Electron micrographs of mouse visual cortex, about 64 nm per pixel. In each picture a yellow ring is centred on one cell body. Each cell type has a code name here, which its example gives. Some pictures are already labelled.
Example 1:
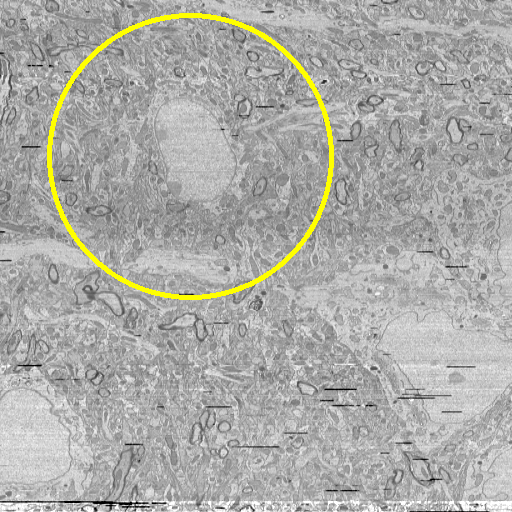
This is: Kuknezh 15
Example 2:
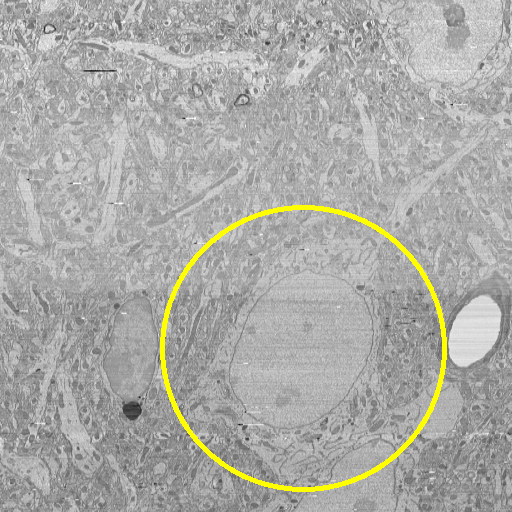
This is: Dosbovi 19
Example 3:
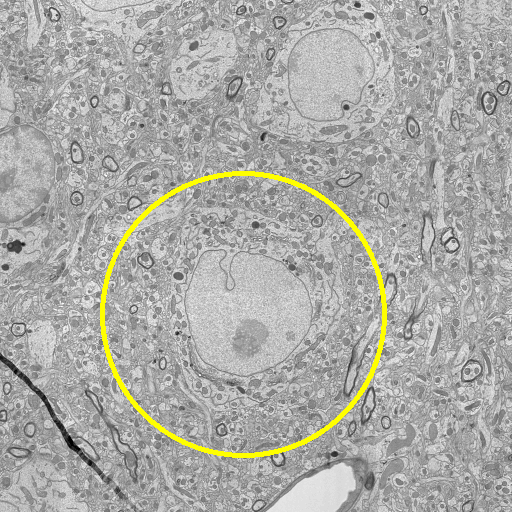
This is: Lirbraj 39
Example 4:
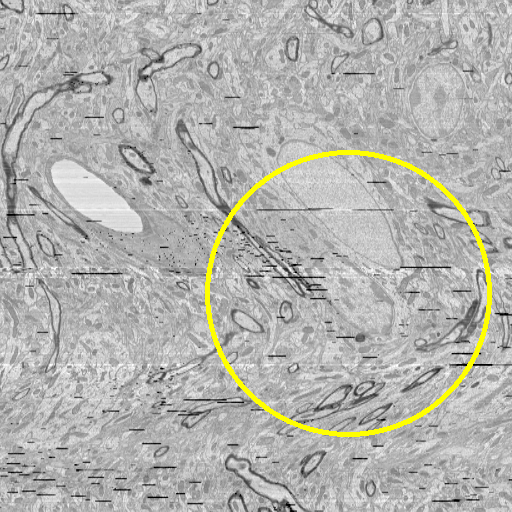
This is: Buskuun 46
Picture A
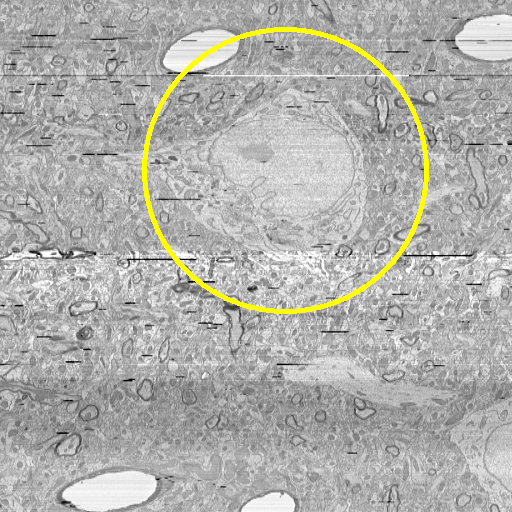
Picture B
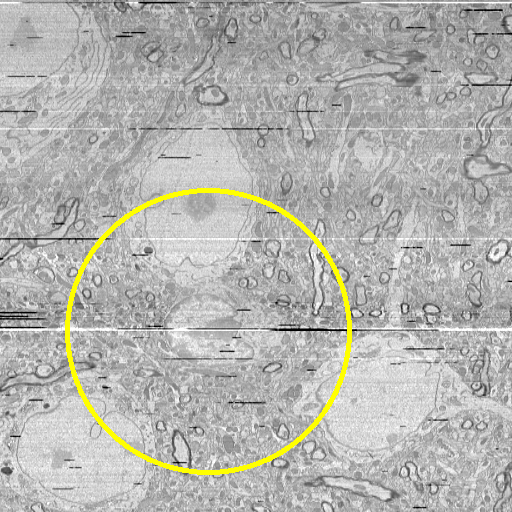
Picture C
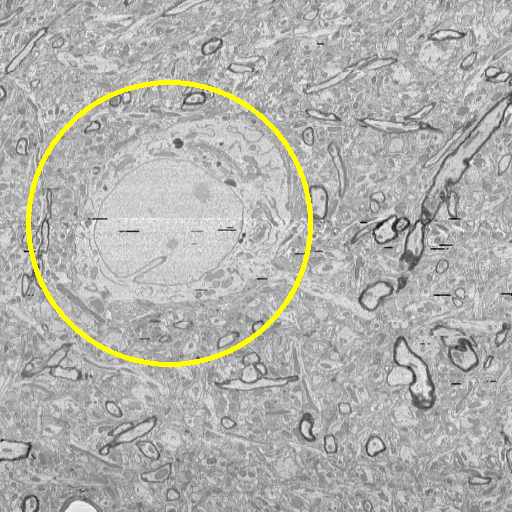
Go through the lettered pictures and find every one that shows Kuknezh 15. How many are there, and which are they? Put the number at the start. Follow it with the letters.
0, none of them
